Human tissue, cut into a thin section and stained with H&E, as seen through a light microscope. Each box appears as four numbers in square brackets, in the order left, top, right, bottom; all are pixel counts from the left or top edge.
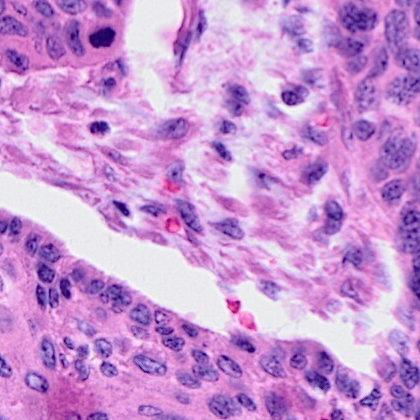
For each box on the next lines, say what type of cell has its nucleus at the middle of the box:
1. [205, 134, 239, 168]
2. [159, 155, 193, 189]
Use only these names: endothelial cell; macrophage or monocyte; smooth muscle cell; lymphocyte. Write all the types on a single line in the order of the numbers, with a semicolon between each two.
lymphocyte; endothelial cell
